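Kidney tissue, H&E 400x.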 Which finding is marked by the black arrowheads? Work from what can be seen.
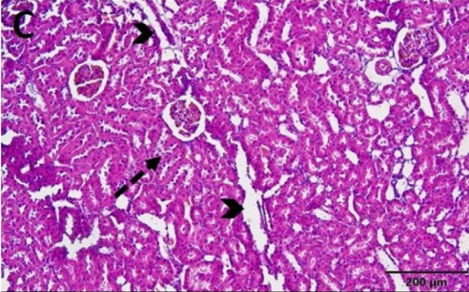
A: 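The arrowheads point at elongated, widened white lumens between tubules. The widened lumens are lined by pink epithelium.
Answer: tubular dilatation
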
